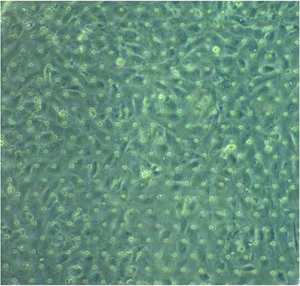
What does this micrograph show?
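The cells have slender tapering ends and lie in loosely aligned, interlacing groups. Scattered among them are small, bright, rounded cells. The layer is less crowded than a confluent cobblestone sheet, with the cell borders and the spaces between cells visible.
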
